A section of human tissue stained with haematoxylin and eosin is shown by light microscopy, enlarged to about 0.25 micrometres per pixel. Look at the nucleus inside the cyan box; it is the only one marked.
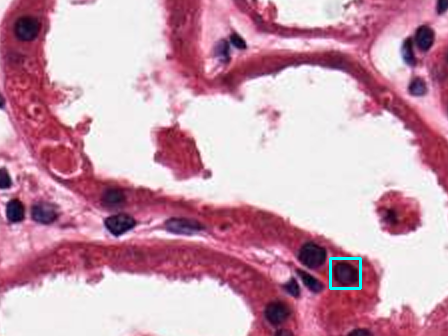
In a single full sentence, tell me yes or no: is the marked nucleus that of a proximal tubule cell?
Yes, the marked nucleus is held by a proximal tubule cell.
